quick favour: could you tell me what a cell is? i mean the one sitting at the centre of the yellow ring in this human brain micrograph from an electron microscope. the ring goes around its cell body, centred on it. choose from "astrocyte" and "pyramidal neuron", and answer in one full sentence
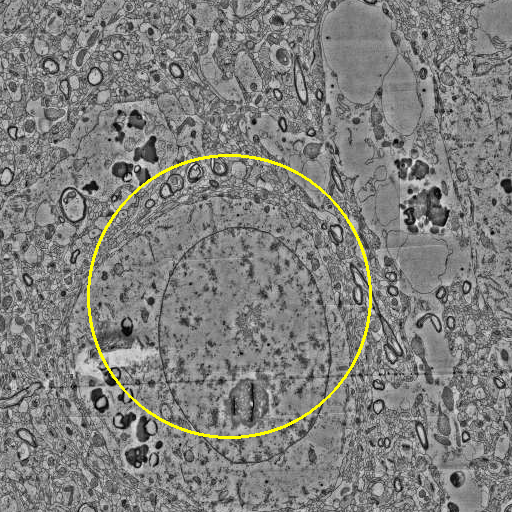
That's a pyramidal neuron, the cell sitting at the centre of the yellow ring.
